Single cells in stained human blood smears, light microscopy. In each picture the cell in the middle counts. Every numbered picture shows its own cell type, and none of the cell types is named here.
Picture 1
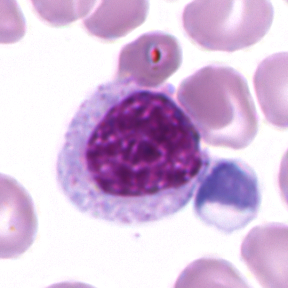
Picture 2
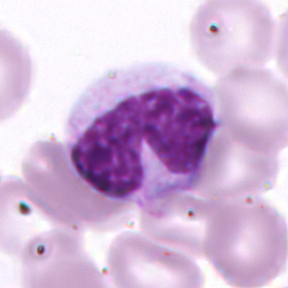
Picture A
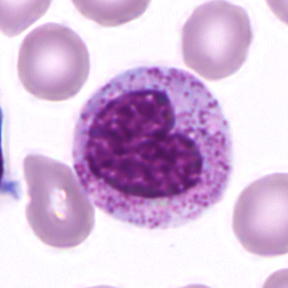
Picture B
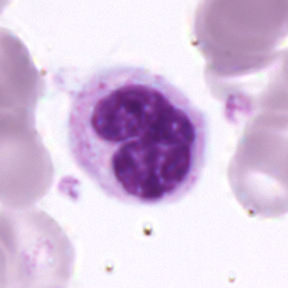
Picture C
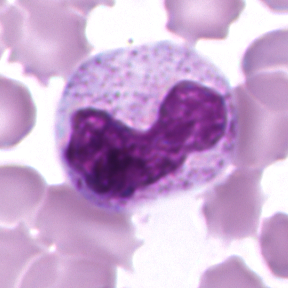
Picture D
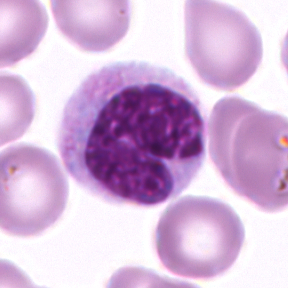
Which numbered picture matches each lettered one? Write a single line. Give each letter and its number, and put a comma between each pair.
A 2, B 2, C 2, D 2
